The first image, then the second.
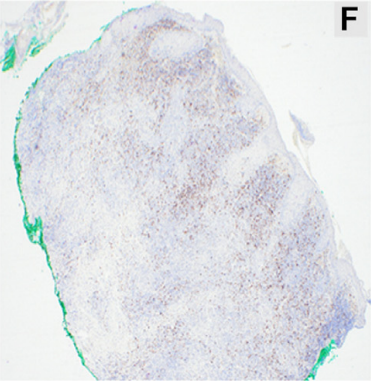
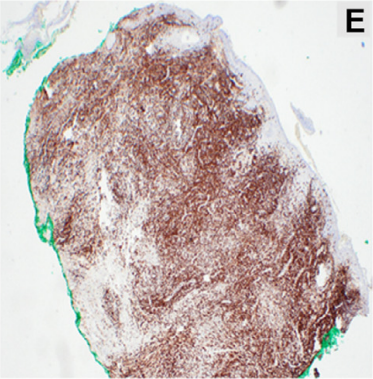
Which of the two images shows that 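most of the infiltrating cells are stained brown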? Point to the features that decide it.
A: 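First image: only scattered brown cells in a largely pale blue infiltrate. Second image: dense brown staining across most of the dermal infiltrate. On this evidence: the second image.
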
